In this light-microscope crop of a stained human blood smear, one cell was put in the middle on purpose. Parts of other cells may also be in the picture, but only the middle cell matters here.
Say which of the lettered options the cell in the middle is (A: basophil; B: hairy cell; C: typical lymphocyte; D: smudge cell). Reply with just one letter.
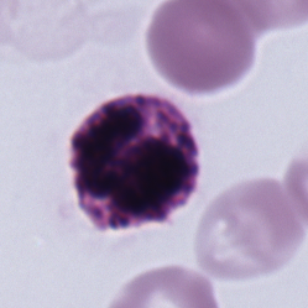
A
